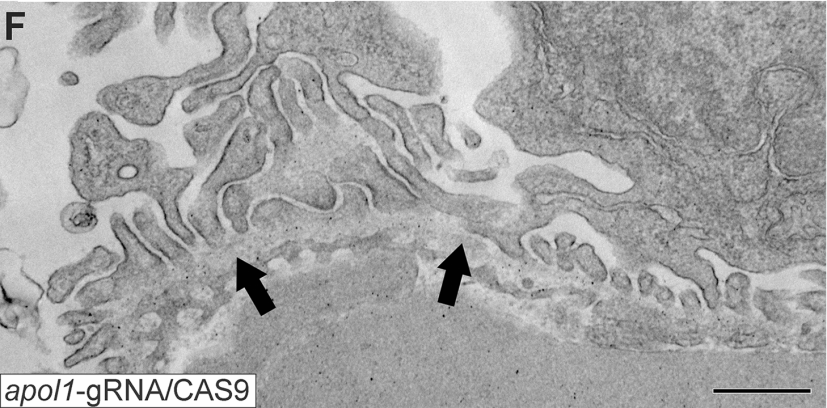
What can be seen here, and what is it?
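This electron micrograph of a glomerular filtration barrier shows podocyte foot processes resting on the glomerular basement membrane. Toward the upper part, many slender, finger-like cytoplasmic processes project into the pale urinary space. They interdigitate and are separated by narrow clear gaps. Closer to the base, some processes lie flattened and broadened along the membrane instead of forming regular, evenly spaced feet, which points to partial foot process effacement. At upper right, a larger cell body has denser cytoplasm containing small membrane-bound profiles.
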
